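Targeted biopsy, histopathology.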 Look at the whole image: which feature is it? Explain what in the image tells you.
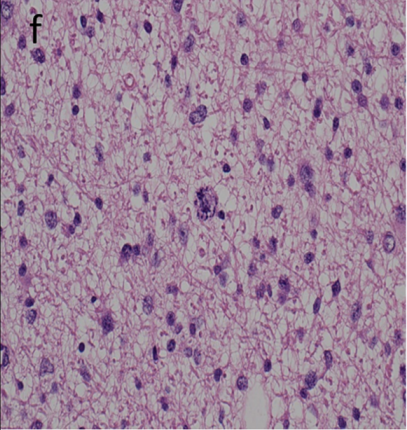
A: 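The space between nuclei is filled by a fine pink meshwork of thin fibres. The meshwork has a loose, net-like texture with small clear spaces.
Conclusion: fibrillary background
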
